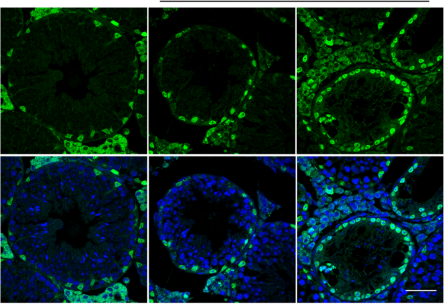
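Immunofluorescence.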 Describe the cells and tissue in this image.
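In the first two tubules the epithelium is thick and layered, with many blue nuclei stacked from the basement membrane toward a central lumen, while the green nuclei are spaced singly along the periphery. Between the tubules the interstitial tissue contains clustered cells that also appear bright in green.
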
